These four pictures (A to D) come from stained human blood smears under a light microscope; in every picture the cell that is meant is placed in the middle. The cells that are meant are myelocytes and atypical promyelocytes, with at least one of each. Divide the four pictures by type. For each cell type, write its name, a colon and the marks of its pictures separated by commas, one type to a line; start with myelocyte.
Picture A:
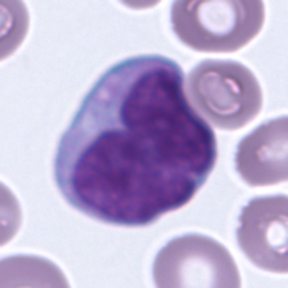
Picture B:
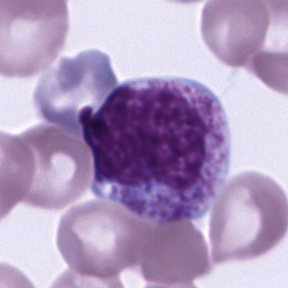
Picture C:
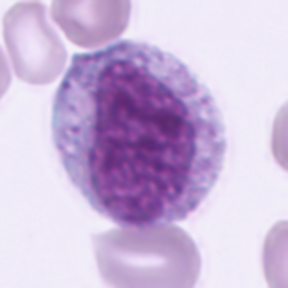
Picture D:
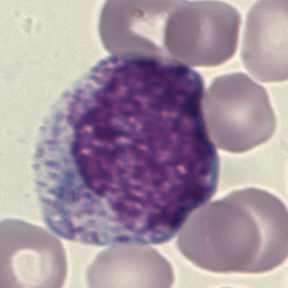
myelocyte: B, C, D
atypical promyelocyte: A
